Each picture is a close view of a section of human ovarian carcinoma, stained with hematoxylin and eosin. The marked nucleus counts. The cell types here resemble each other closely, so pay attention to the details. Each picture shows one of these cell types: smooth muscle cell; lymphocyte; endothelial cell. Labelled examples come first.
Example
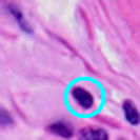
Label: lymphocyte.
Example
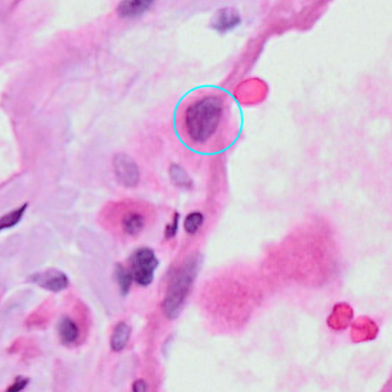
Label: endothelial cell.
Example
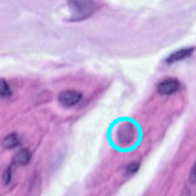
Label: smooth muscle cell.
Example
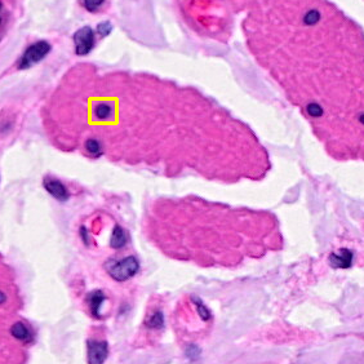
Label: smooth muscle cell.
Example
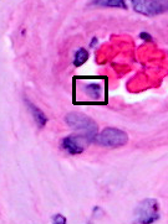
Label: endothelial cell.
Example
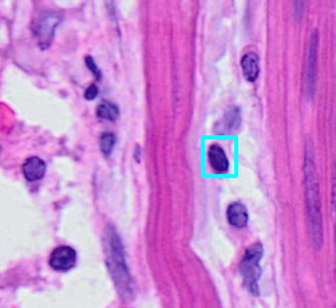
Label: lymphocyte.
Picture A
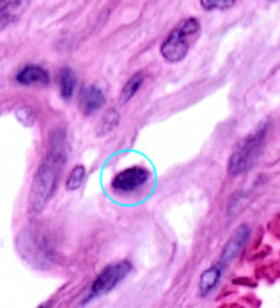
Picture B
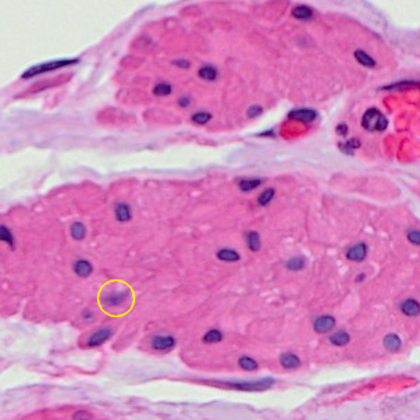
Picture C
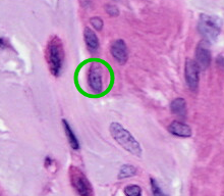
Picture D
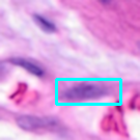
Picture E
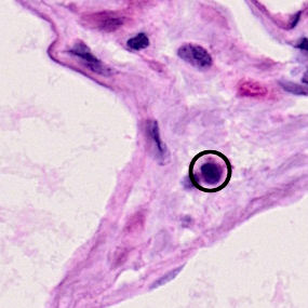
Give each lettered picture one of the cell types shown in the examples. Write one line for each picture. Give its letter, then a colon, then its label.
A: lymphocyte.
B: smooth muscle cell.
C: smooth muscle cell.
D: endothelial cell.
E: lymphocyte.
